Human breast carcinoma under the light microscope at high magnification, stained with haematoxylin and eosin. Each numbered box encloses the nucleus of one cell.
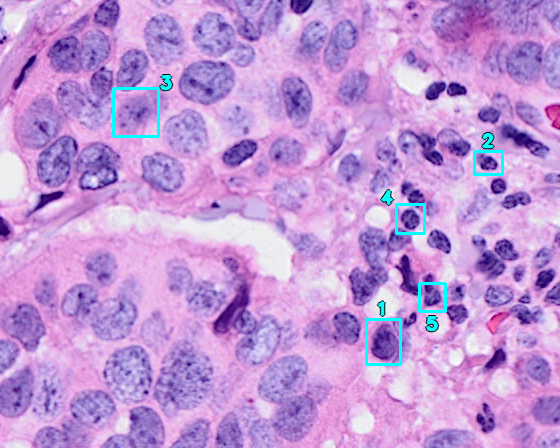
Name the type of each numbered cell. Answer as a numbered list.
1. carcinoma cell
2. lymphocyte
3. carcinoma cell
4. lymphocyte
5. lymphocyte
